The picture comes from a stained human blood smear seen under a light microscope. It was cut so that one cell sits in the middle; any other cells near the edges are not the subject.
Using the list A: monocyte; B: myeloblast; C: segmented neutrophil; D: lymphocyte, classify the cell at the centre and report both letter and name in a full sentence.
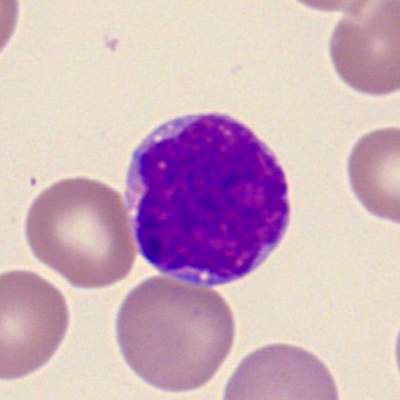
The cell centred in the crop is a myeloblast, and the correct option is thus B.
